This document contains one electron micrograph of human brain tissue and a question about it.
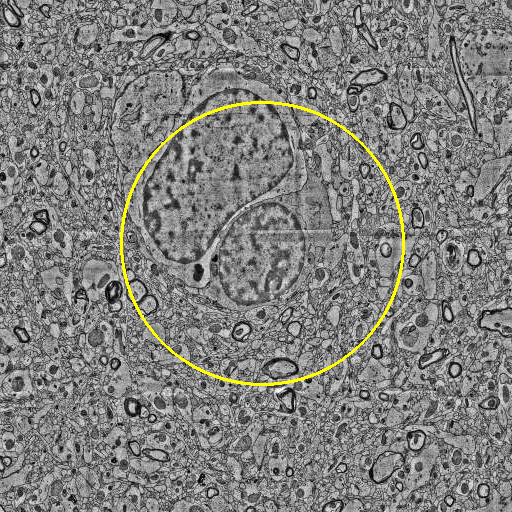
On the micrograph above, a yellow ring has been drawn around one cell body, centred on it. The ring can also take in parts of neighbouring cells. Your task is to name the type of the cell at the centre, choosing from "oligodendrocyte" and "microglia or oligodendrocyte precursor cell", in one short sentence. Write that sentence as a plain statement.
Here the ring is centred on an oligodendrocyte.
